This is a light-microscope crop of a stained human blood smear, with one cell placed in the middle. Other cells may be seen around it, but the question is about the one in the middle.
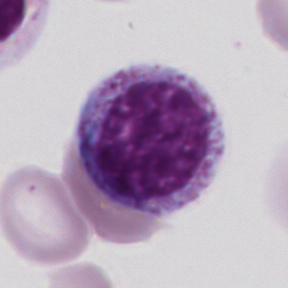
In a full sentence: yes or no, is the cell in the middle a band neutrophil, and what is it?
No, rather than a band neutrophil, the central cell is a metamyelocyte.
